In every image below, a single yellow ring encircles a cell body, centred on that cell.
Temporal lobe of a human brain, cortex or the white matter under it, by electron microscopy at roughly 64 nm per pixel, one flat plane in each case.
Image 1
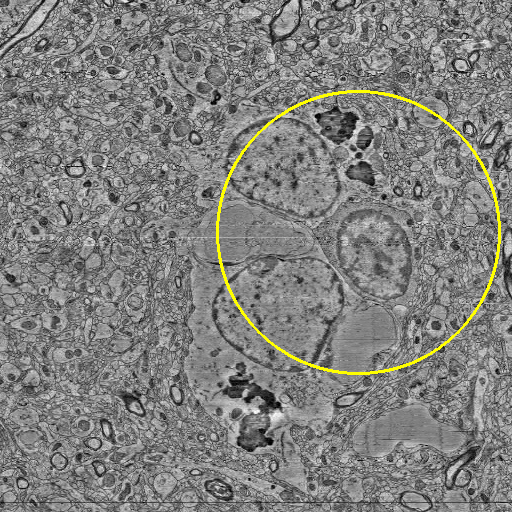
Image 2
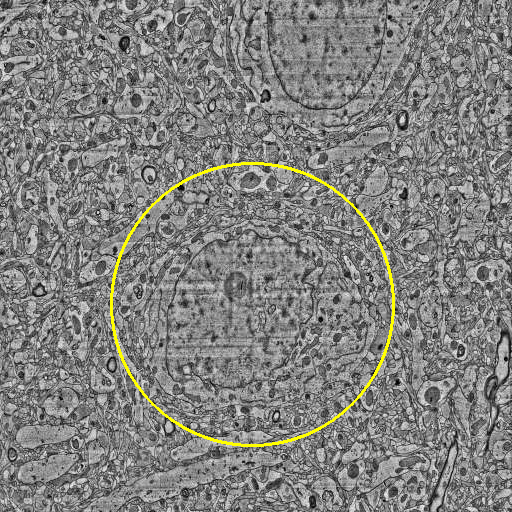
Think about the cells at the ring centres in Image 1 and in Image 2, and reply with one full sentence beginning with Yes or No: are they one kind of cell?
No, the cells centred in the rings of Image 1 and Image 2 are two kinds of cell.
